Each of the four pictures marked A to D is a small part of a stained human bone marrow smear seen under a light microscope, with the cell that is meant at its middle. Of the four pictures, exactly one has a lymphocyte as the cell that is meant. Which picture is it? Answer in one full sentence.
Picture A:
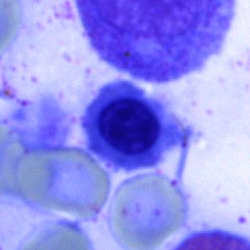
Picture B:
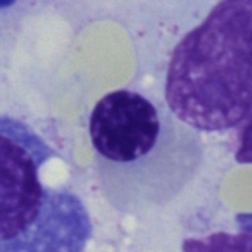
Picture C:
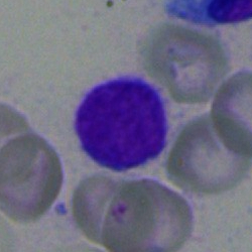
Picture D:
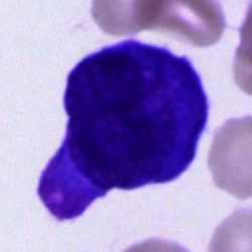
The lymphocyte is the one in picture C.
